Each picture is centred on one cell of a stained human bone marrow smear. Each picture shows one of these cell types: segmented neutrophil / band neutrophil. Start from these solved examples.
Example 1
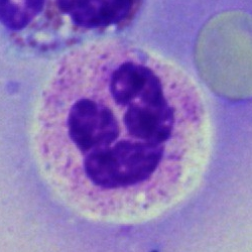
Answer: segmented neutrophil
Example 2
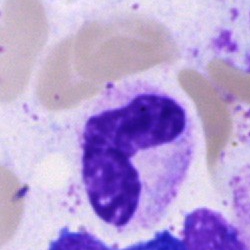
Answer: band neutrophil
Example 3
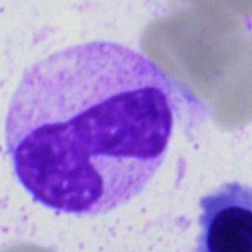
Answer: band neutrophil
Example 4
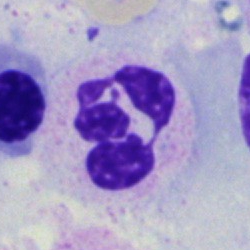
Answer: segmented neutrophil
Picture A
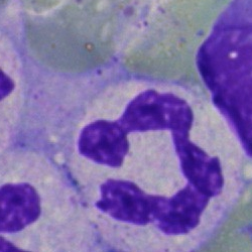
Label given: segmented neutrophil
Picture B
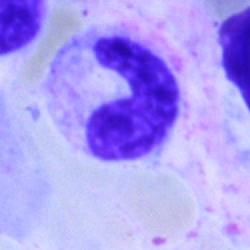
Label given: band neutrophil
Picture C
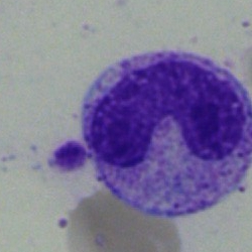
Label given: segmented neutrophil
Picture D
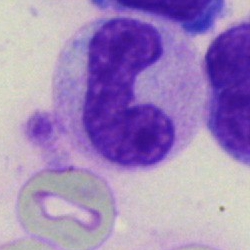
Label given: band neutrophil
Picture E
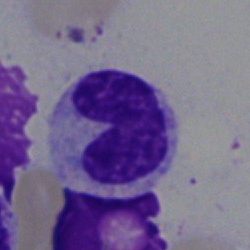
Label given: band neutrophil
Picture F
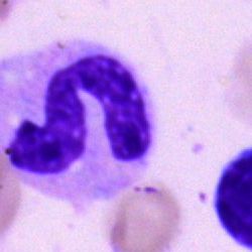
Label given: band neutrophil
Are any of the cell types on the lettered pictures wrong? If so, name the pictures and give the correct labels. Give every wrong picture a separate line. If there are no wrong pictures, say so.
Wrong: C (segmented neutrophil); correct: band neutrophil
Wrong: F (band neutrophil); correct: segmented neutrophil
